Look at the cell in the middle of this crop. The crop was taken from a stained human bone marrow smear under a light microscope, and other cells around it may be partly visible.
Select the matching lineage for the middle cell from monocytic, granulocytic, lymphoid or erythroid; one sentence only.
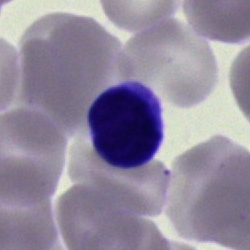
Among the lineages, the lymphoid one is that of the central cell.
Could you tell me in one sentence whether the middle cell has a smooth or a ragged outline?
Happy to help: the outline is smooth and shows no projections.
